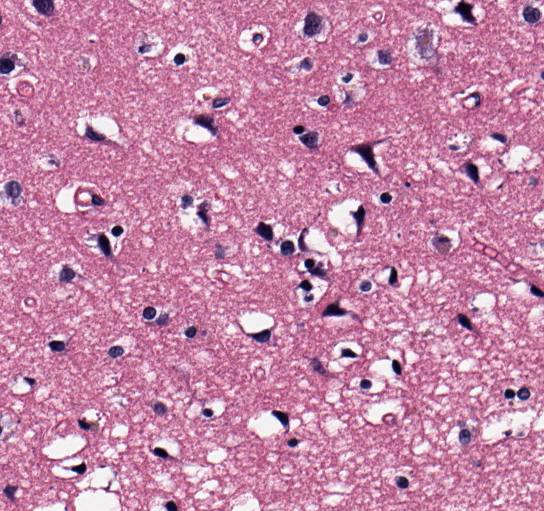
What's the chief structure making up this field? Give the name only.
cerebral cortex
